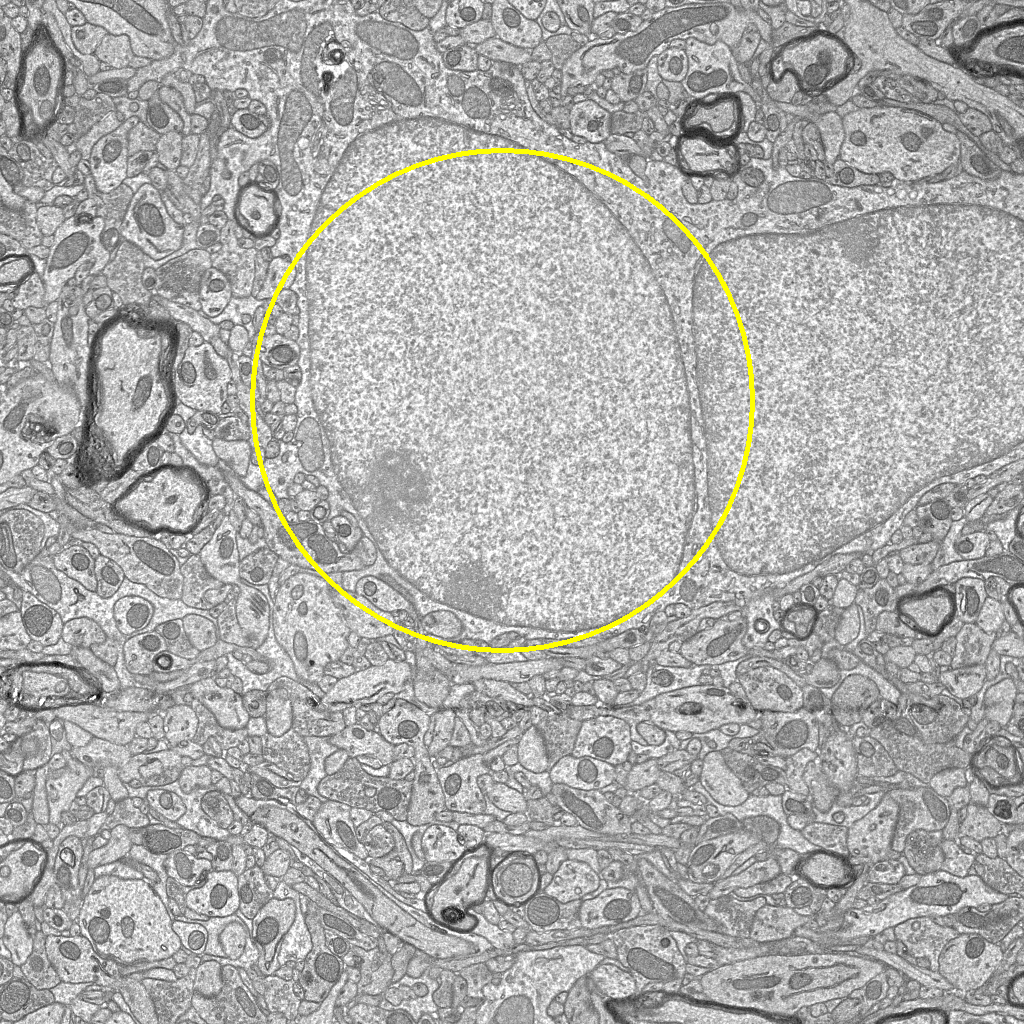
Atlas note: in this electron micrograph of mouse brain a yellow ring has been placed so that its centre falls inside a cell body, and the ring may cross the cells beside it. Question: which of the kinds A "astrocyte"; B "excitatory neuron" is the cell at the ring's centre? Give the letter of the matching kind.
A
